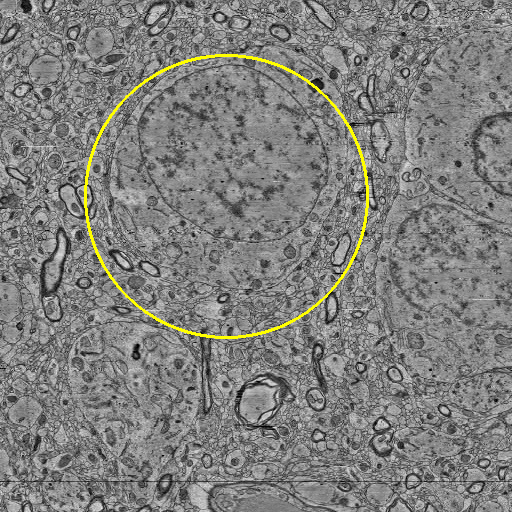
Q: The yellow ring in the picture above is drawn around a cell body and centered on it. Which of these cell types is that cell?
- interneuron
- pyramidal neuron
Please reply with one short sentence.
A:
The cell body at the ring's center belongs to a pyramidal neuron.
